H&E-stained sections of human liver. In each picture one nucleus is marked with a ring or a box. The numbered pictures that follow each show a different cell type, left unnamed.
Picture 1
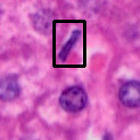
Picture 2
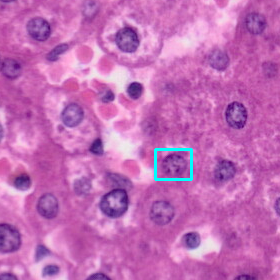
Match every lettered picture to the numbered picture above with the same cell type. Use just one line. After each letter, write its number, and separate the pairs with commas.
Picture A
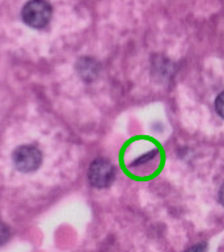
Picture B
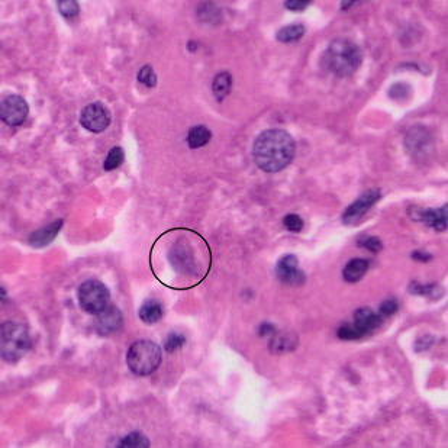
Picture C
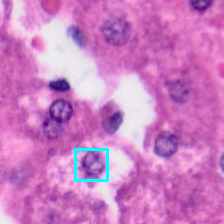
A 1, B 1, C 2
